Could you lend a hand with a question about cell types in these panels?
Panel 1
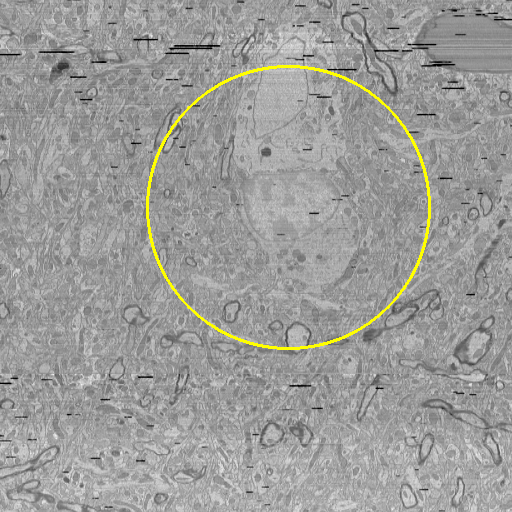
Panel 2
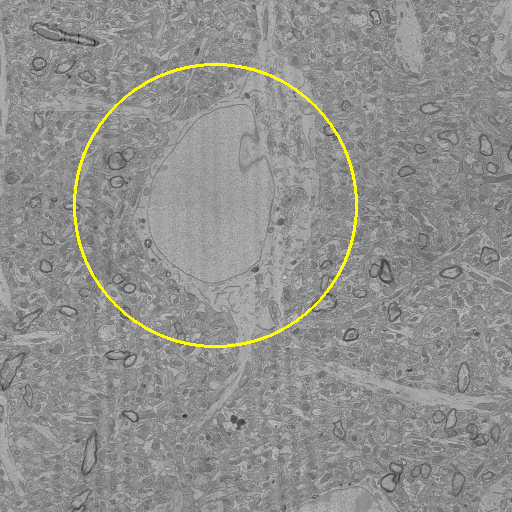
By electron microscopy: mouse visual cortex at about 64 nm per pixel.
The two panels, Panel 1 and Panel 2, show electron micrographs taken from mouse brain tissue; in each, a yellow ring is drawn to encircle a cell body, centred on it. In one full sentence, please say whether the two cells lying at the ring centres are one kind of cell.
No, the cells at the ring centres in the two panels are two kinds of cell.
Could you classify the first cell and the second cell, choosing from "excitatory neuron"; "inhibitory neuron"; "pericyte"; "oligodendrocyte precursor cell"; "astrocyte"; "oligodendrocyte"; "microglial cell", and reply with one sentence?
The second cell is an excitatory neuron, while the first is an oligodendrocyte.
